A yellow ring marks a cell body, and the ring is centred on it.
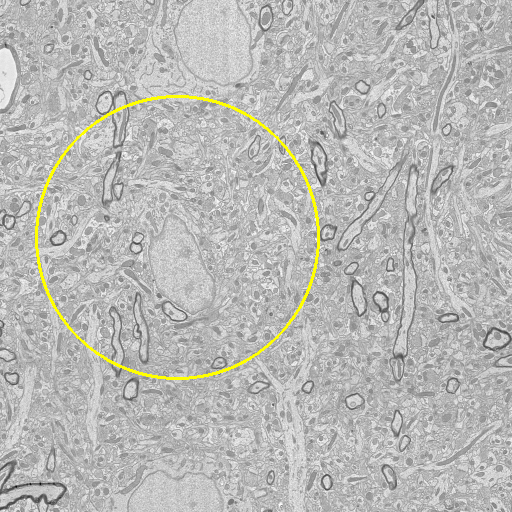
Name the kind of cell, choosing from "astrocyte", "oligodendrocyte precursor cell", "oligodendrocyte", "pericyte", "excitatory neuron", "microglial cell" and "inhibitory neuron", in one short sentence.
The marked cell body belongs to an oligodendrocyte precursor cell.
